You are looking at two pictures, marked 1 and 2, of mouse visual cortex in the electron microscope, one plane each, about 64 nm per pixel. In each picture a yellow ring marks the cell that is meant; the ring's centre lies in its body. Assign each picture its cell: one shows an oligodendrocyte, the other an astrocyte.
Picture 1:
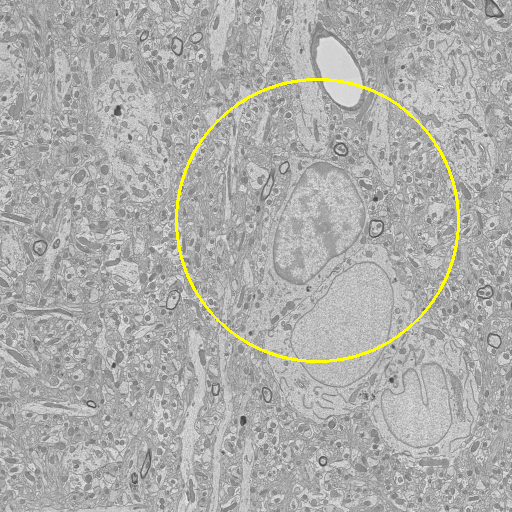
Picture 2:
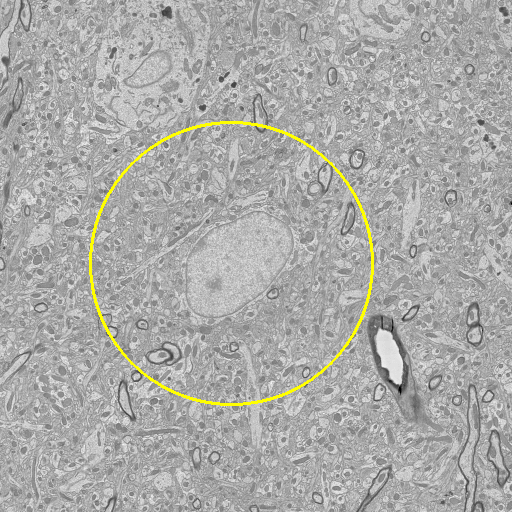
It is picture 1 that shows an oligodendrocyte, and picture 2 that shows an astrocyte.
